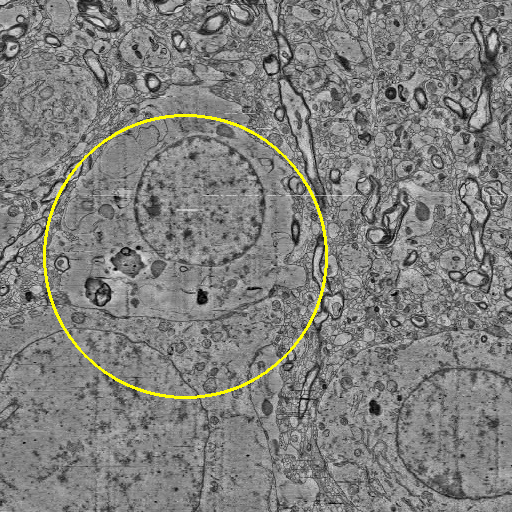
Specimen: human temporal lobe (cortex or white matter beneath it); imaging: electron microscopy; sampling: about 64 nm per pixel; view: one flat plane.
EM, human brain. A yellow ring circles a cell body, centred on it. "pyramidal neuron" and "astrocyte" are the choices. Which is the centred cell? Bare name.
astrocyte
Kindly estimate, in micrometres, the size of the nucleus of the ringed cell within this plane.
About 9 micrometres across in this plane, for the nucleus.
